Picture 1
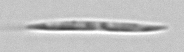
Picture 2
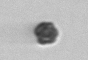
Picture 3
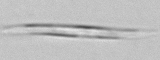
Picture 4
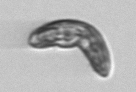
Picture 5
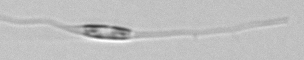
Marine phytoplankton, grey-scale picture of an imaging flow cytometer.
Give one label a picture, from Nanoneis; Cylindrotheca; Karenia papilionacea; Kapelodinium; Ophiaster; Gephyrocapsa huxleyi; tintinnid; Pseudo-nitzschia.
1. Pseudo-nitzschia
2. Gephyrocapsa huxleyi
3. Pseudo-nitzschia
4. Karenia papilionacea
5. Cylindrotheca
